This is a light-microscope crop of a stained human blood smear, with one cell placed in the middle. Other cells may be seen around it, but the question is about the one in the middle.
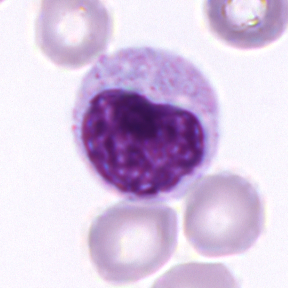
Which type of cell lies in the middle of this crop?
metamyelocyte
